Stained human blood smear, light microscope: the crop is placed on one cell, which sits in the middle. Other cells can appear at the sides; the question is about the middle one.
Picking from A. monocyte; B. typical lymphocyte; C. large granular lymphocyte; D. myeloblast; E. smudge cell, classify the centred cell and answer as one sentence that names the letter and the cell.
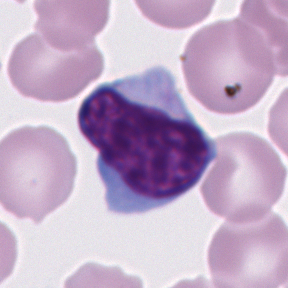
As the central cell is a typical lymphocyte, option B is correct.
